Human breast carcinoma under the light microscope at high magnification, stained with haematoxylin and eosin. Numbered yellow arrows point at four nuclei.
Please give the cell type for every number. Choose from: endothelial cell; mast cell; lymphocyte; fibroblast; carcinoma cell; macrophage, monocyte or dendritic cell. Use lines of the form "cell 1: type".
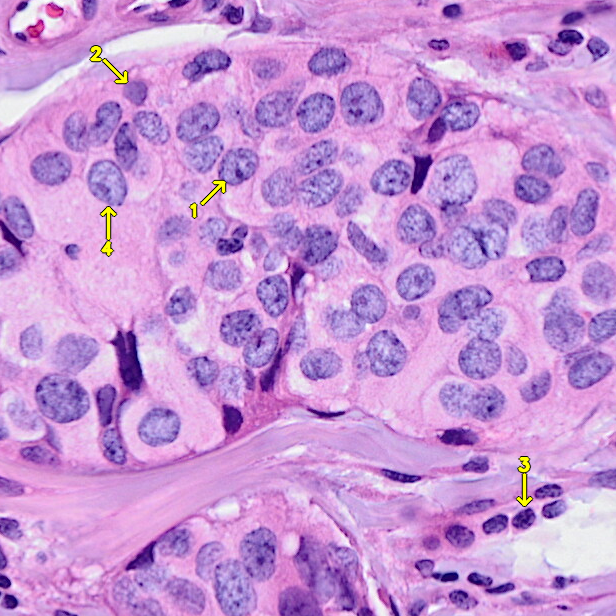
cell 1: carcinoma cell
cell 2: carcinoma cell
cell 3: lymphocyte
cell 4: carcinoma cell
